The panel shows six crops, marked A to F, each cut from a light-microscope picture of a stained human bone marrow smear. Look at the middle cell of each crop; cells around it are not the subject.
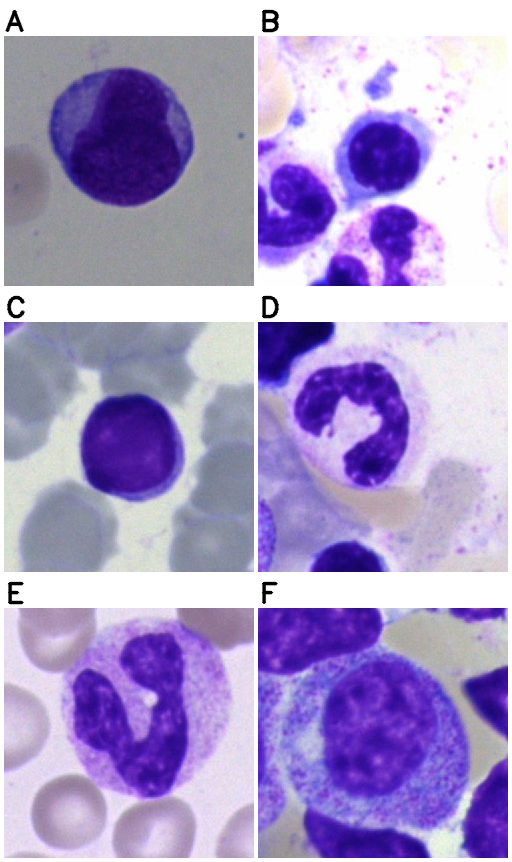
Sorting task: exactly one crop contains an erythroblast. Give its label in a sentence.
Crop B is the crop in which an erythroblast is shown.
